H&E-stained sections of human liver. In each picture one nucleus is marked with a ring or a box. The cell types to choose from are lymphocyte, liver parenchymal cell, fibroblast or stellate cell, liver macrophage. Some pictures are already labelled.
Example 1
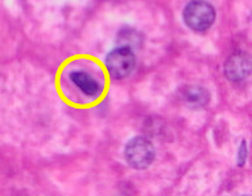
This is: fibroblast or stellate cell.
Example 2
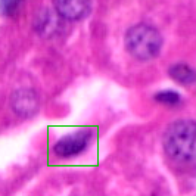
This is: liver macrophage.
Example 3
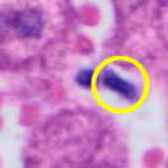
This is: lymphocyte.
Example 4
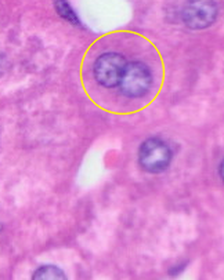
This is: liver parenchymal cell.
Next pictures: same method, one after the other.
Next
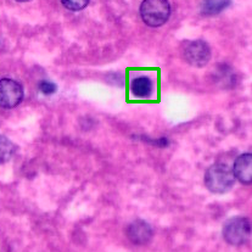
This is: lymphocyte.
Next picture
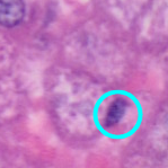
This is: fibroblast or stellate cell.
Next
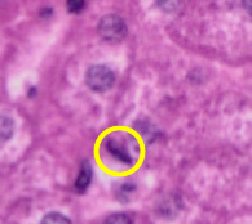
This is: fibroblast or stellate cell.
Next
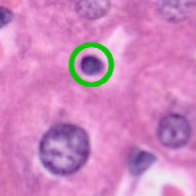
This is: lymphocyte.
